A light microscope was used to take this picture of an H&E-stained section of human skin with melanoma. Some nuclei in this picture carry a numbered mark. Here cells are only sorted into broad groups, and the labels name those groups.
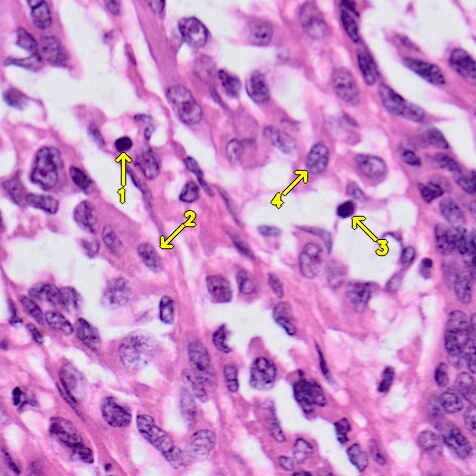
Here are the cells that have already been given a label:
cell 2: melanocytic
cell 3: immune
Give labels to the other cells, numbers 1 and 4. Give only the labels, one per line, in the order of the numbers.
immune
melanocytic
